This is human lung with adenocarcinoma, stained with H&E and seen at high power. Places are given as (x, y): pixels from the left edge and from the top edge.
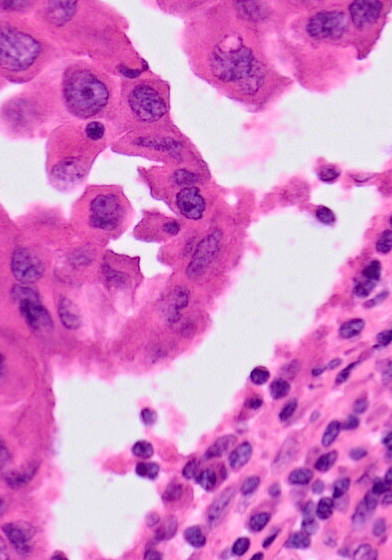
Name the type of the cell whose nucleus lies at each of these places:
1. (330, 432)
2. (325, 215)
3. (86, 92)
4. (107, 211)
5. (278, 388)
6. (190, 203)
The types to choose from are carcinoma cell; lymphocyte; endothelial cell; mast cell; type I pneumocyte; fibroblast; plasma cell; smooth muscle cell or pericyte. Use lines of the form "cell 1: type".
cell 1: lymphocyte
cell 2: lymphocyte
cell 3: carcinoma cell
cell 4: carcinoma cell
cell 5: lymphocyte
cell 6: carcinoma cell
